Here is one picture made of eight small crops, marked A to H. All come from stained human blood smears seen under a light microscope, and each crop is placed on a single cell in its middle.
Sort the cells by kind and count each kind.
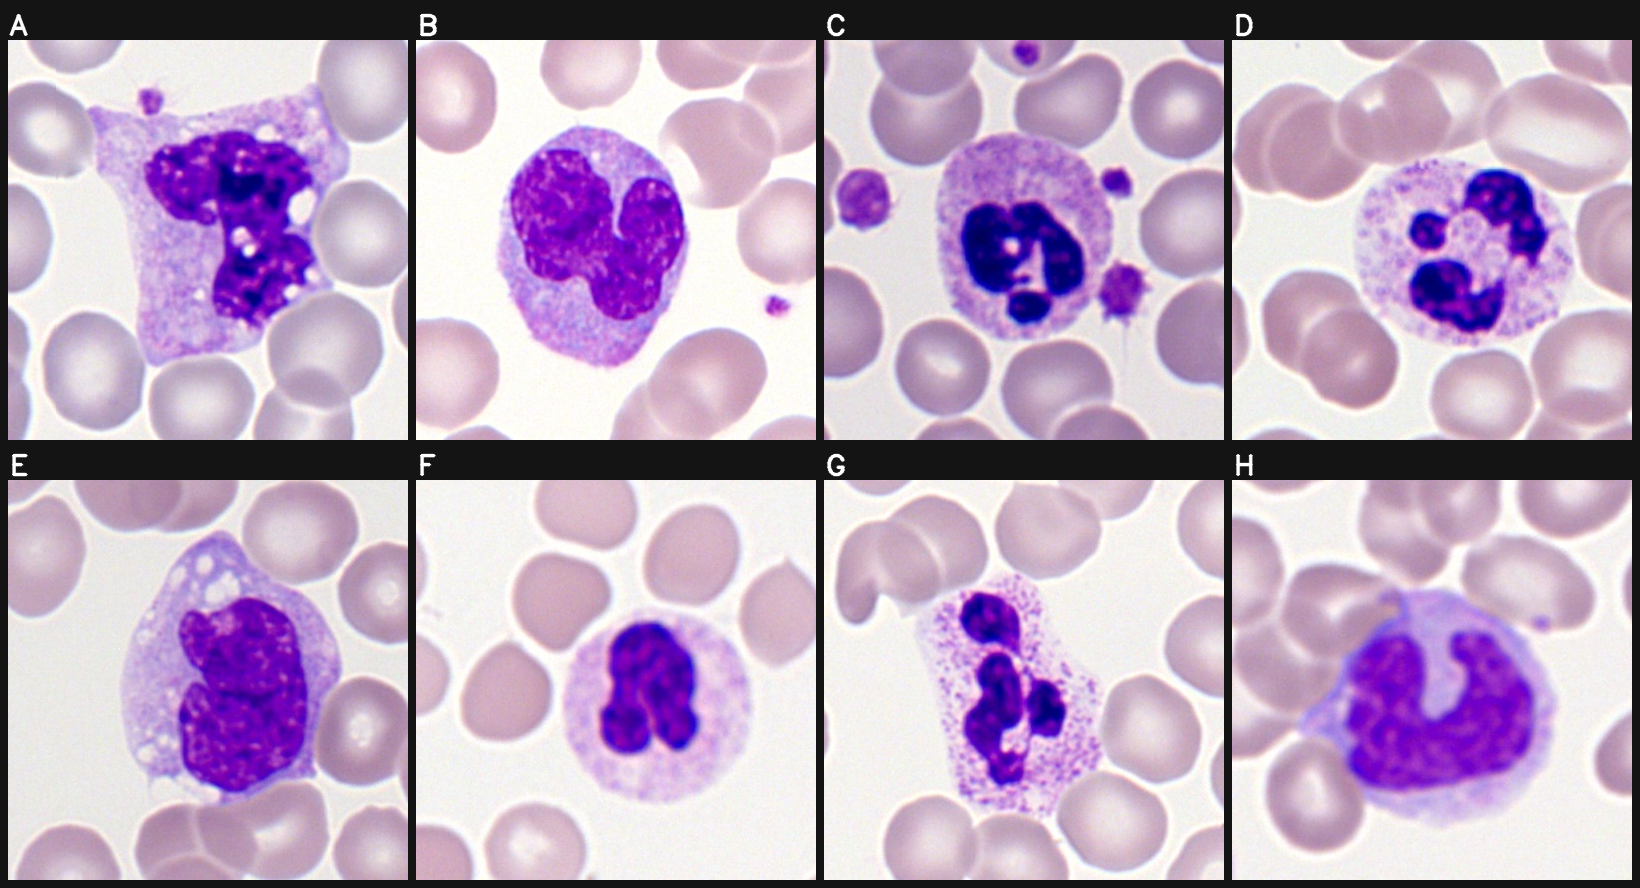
monocyte: 4
neutrophil: 4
